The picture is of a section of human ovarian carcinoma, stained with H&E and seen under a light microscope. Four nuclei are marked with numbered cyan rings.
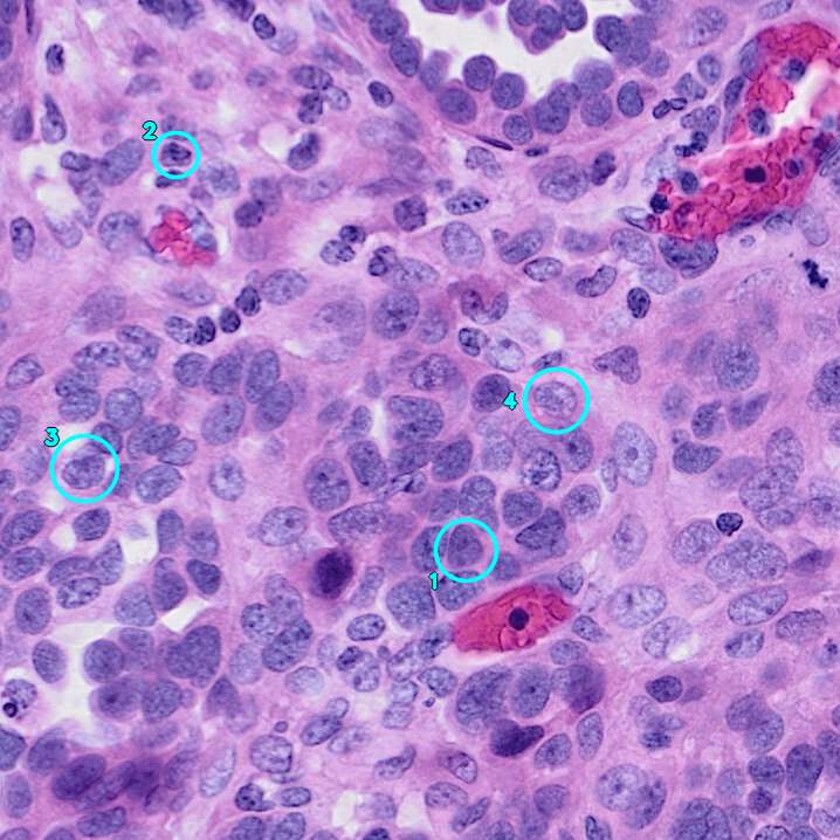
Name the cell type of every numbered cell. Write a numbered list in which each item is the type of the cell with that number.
1. carcinoma cell
2. lymphocyte
3. carcinoma cell
4. carcinoma cell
